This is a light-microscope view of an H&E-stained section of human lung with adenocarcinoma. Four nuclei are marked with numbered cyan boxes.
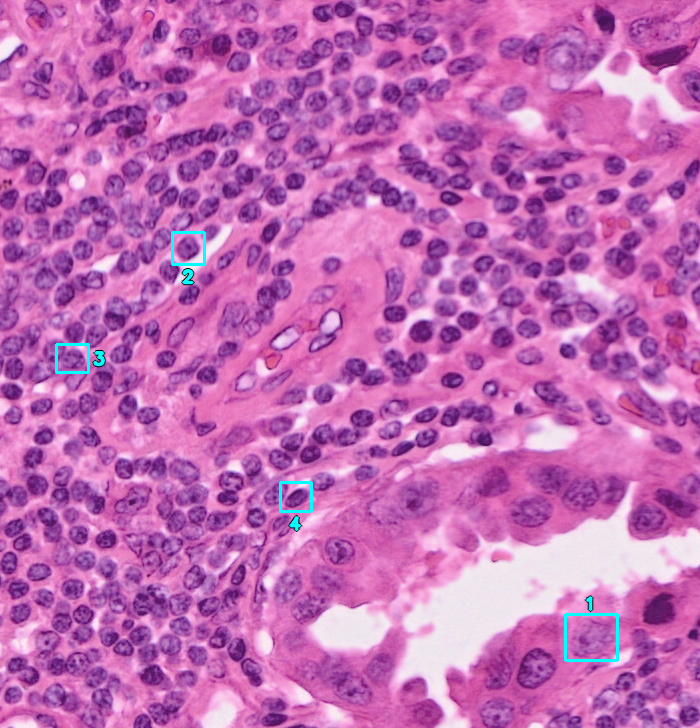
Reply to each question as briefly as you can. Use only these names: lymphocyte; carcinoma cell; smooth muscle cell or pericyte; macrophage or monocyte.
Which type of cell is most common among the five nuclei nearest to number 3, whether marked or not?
lymphocyte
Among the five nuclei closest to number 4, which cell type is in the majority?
lymphocyte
